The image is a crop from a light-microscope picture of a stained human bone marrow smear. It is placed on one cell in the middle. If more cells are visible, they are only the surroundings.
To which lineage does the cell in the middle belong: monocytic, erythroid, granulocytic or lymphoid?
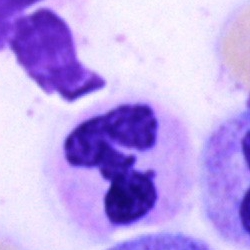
granulocytic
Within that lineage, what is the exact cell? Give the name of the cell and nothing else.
segmented neutrophil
